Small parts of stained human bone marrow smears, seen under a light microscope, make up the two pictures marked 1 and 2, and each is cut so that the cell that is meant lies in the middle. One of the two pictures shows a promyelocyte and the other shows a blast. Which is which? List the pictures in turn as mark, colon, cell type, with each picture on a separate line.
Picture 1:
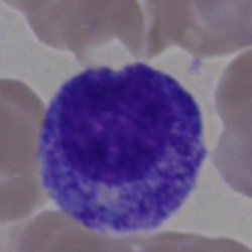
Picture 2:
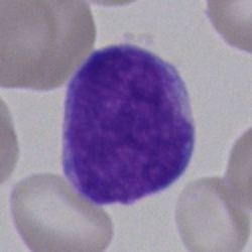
1: promyelocyte
2: blast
